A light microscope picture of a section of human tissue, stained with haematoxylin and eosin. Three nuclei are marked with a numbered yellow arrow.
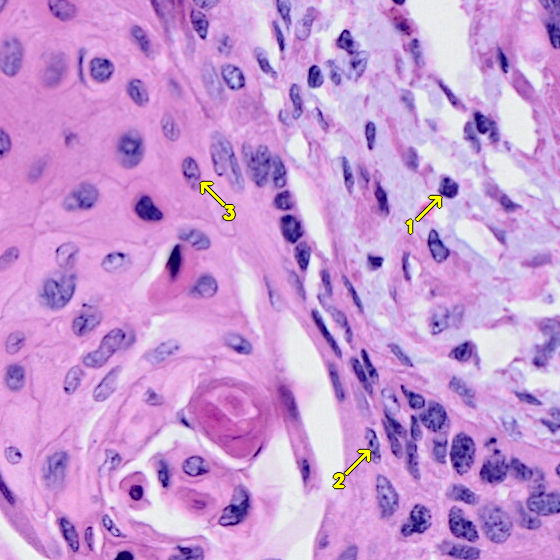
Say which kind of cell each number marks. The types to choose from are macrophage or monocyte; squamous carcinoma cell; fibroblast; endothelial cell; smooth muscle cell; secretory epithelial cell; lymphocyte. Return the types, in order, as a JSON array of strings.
["lymphocyte", "squamous carcinoma cell", "squamous carcinoma cell"]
